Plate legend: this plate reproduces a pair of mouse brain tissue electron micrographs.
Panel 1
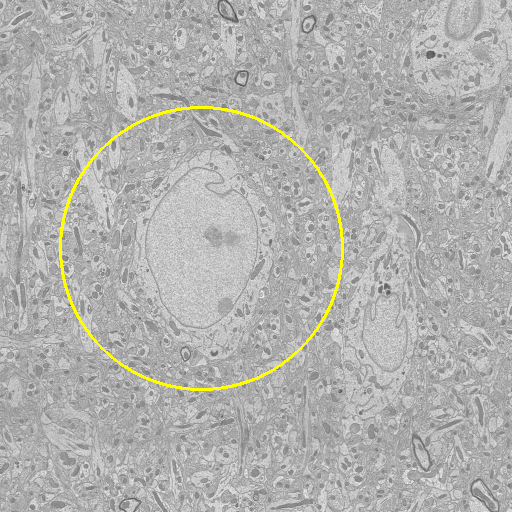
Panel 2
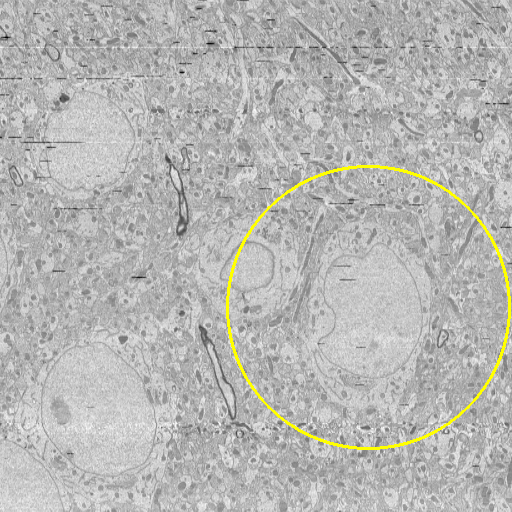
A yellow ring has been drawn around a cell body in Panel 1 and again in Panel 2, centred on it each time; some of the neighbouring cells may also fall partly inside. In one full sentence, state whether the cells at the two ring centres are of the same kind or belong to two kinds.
The ring-centred cells of Panel 1 and Panel 2 are of the same kind.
